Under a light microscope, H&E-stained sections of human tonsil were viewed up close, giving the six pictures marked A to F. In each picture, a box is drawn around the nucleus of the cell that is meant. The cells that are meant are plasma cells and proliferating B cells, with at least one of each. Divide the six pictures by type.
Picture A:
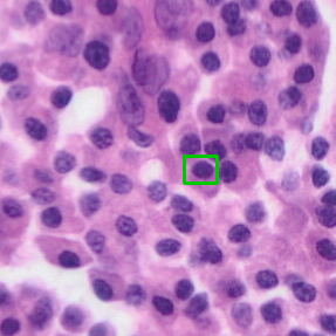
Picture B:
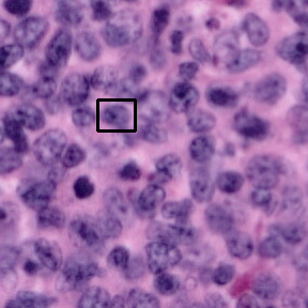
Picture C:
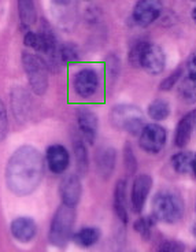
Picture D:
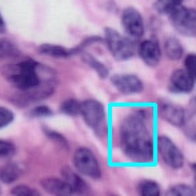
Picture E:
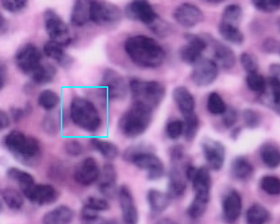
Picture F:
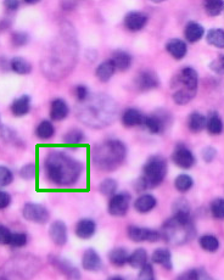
A: plasma cell
B: proliferating B cell
C: plasma cell
D: proliferating B cell
E: proliferating B cell
F: proliferating B cell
